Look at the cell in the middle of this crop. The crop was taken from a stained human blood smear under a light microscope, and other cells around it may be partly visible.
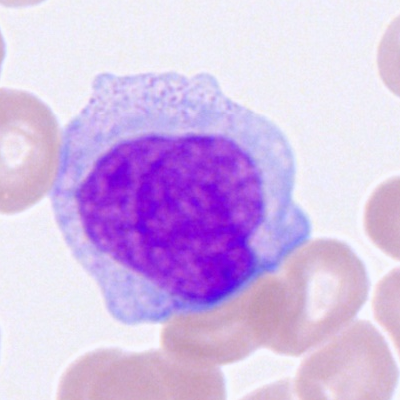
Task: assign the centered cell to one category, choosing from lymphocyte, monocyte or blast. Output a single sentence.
By type, the central cell of the crop is a monocyte.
